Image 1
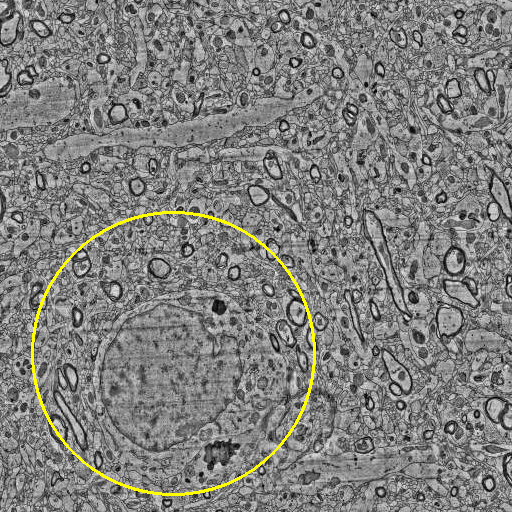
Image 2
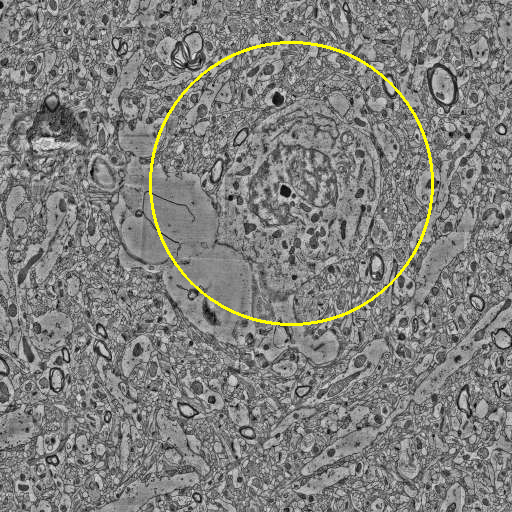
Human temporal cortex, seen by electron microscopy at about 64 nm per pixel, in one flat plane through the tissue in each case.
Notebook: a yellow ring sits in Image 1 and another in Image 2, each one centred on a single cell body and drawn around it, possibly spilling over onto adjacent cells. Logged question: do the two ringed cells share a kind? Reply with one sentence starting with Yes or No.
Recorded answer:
Yes, both centre cells inside the rings of Image 1 and Image 2 share one kind.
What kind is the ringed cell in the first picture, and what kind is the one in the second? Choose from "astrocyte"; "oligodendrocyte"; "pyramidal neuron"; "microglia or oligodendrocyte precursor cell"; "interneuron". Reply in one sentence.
Both cells are the same kind, each one being an interneuron.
